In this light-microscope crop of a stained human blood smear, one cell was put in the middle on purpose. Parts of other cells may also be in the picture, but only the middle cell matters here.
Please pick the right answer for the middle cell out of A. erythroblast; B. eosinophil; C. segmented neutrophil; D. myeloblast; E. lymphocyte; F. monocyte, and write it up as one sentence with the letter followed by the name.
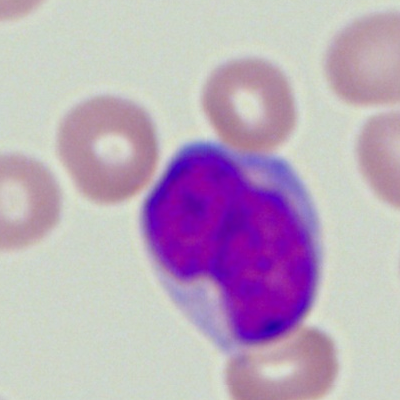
The cell in the center of this crop is a myeloblast, so option D is the one to pick.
